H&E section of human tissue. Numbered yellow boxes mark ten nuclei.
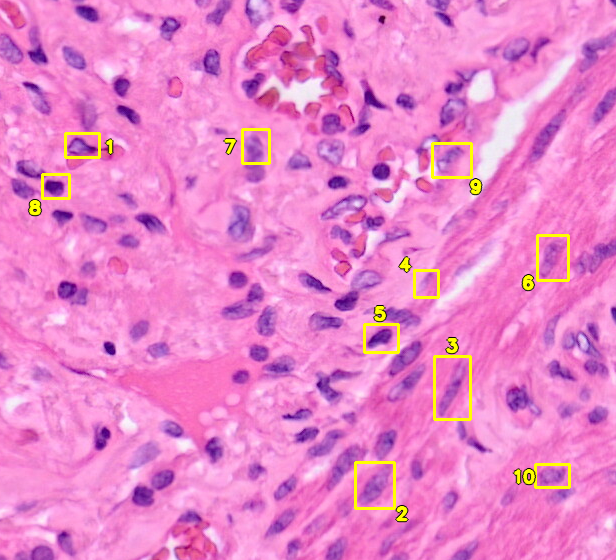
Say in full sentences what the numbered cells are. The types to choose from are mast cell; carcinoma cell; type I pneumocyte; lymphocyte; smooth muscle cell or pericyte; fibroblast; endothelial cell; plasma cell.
Cell 1 is an endothelial cell, cell 2 is a smooth muscle cell or pericyte, cell 3 is a smooth muscle cell or pericyte, cell 4 is a smooth muscle cell or pericyte, cell 5 is a mast cell, cell 6 is a smooth muscle cell or pericyte, cell 7 is a fibroblast, cell 8 is a lymphocyte, cell 9 is an endothelial cell and cell 10 is a smooth muscle cell or pericyte.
